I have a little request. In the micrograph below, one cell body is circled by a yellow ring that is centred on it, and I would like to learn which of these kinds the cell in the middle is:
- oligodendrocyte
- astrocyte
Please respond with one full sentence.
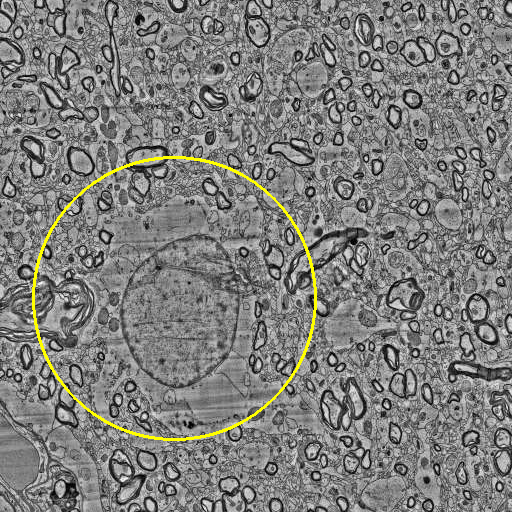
The cell sitting in the middle of the yellow ring in the micrograph is an astrocyte.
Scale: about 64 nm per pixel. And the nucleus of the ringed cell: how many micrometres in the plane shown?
In this plane the nucleus spans approximately 10 by 8 micrometers.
